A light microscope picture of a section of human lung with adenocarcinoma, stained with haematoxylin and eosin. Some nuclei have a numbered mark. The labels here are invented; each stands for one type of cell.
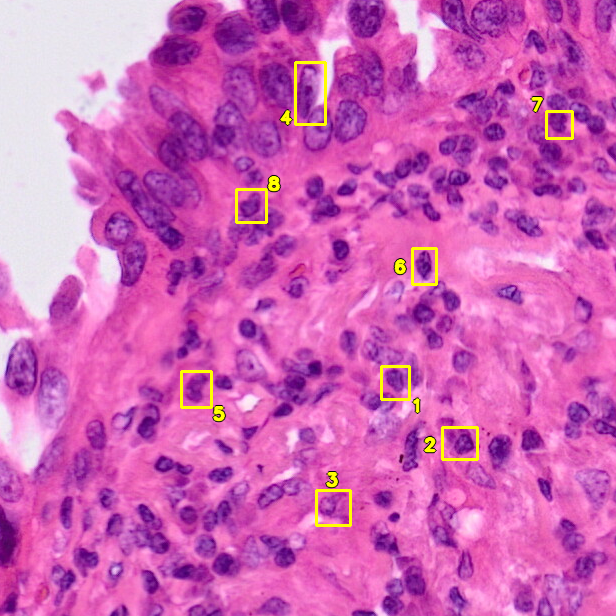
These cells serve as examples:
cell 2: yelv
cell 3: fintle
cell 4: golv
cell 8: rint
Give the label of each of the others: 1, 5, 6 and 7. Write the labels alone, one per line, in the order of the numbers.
rint
yelv
rint
yelv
